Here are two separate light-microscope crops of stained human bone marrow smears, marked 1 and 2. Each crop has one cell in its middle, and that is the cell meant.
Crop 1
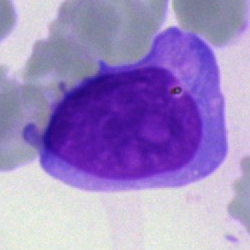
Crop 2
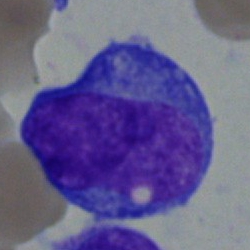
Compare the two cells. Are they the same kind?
yes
